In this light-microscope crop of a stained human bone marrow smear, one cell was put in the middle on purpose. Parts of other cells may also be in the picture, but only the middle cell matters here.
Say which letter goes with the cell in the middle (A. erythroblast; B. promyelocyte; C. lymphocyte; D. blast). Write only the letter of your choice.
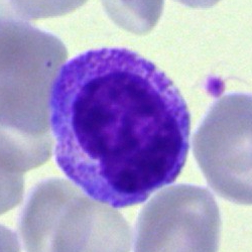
B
